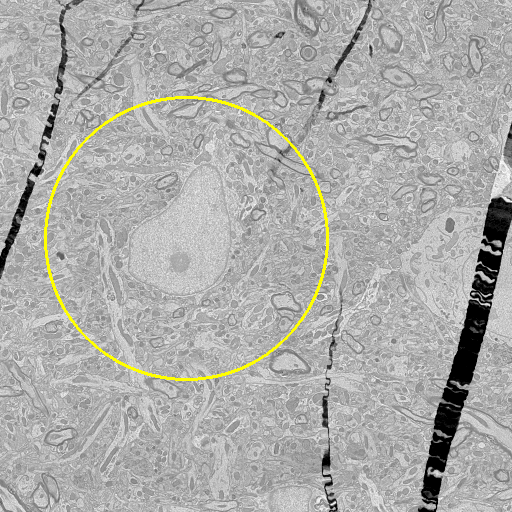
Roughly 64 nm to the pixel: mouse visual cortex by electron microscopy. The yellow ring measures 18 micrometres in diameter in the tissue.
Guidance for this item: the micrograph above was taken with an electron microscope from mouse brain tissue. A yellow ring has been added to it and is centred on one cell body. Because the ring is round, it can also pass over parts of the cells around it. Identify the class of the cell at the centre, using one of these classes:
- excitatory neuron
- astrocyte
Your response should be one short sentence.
The ring surrounds the body of an astrocyte.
